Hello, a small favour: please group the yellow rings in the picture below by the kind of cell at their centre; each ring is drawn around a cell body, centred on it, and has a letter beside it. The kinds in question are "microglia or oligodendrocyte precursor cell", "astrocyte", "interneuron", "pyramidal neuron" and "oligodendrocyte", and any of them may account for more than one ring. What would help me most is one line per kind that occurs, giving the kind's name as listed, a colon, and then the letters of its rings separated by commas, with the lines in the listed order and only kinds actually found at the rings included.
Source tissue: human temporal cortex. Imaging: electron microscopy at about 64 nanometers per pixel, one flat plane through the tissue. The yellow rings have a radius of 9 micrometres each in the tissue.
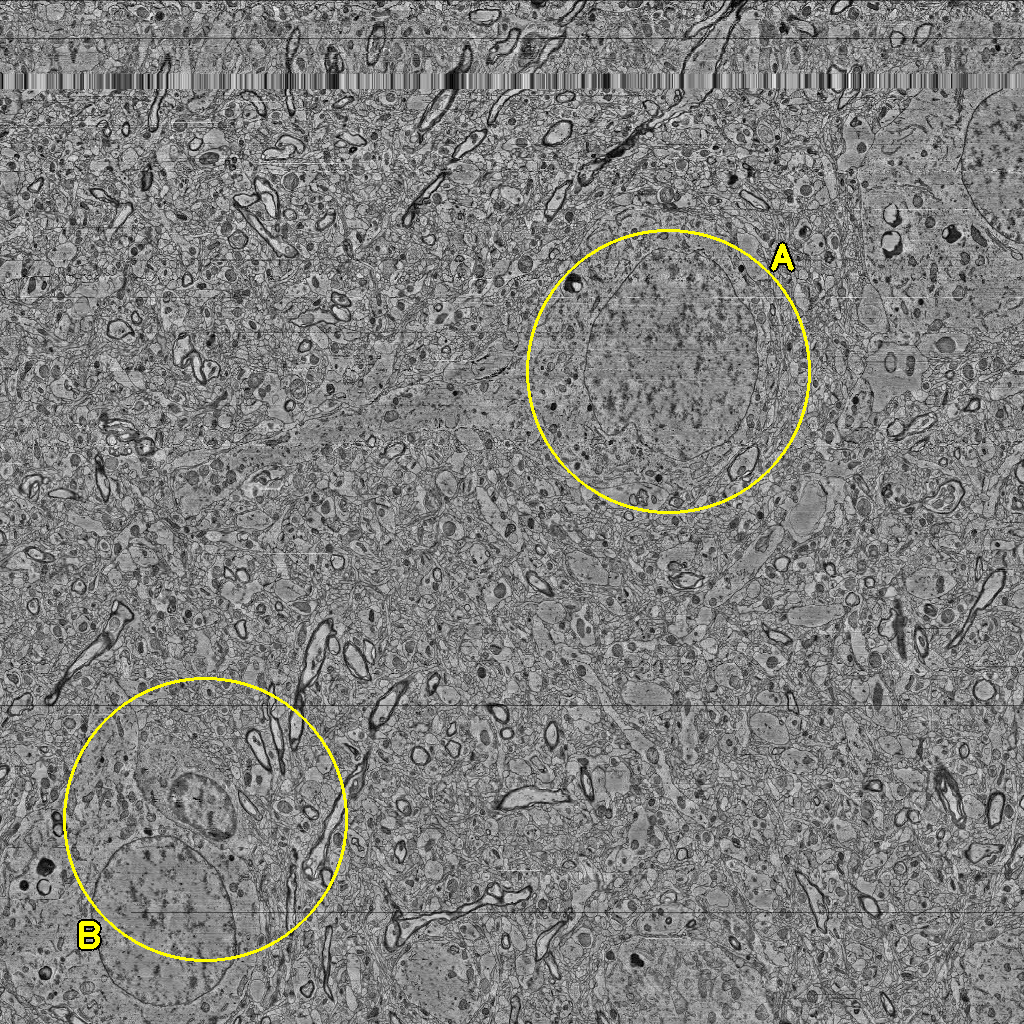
pyramidal neuron: A
oligodendrocyte: B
